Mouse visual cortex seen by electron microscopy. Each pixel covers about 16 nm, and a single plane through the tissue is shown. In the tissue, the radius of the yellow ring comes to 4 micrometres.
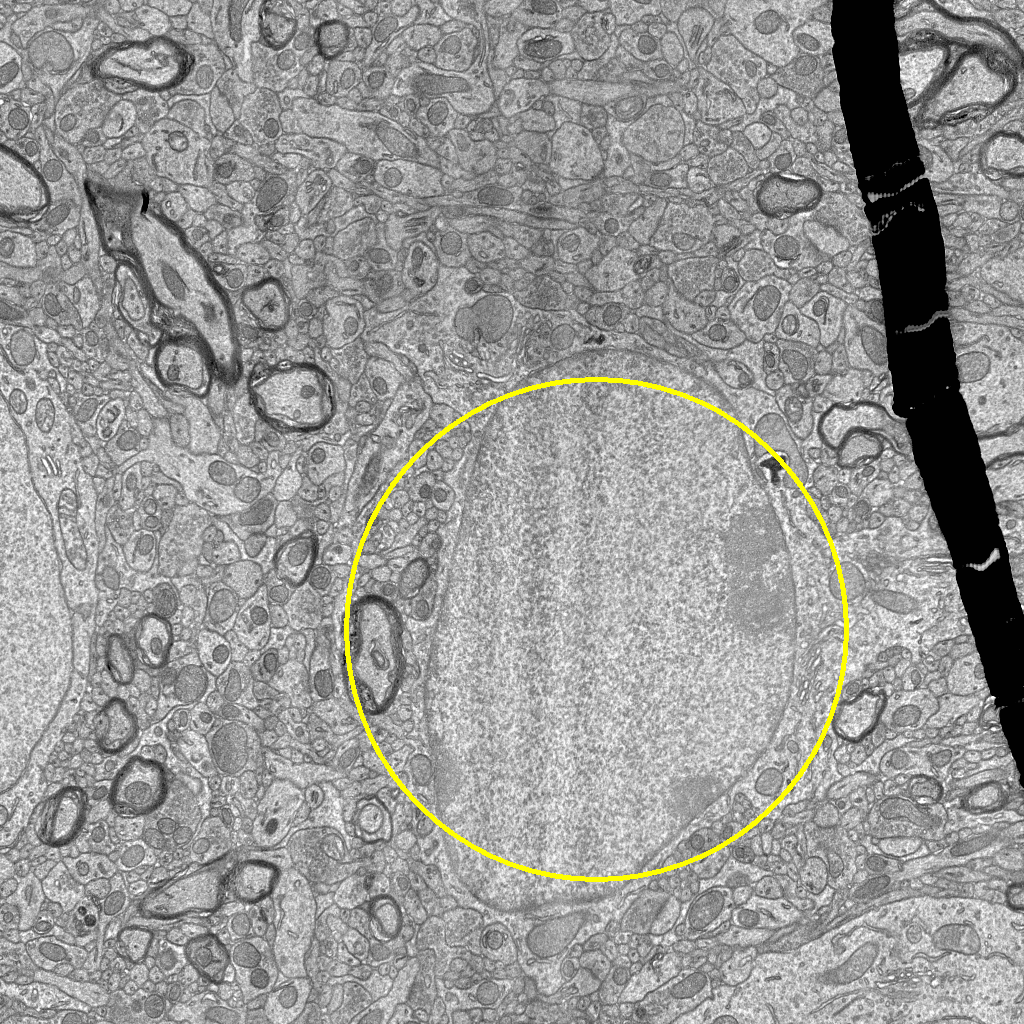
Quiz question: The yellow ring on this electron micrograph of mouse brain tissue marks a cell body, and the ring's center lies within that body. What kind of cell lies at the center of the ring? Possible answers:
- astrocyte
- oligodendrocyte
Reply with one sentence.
The ring's center lies on an astrocyte.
